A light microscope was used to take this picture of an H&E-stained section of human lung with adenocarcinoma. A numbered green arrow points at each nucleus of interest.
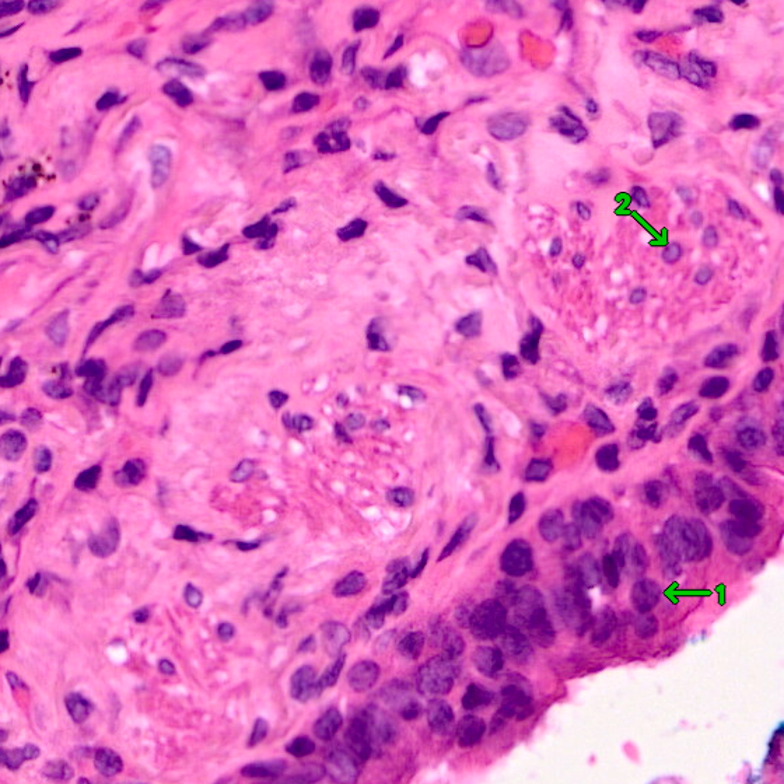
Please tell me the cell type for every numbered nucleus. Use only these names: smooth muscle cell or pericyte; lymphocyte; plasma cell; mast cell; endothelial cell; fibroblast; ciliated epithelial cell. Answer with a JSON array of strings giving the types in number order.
["ciliated epithelial cell", "smooth muscle cell or pericyte"]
